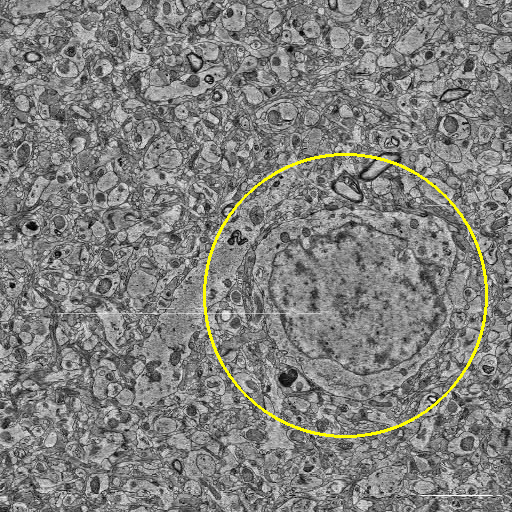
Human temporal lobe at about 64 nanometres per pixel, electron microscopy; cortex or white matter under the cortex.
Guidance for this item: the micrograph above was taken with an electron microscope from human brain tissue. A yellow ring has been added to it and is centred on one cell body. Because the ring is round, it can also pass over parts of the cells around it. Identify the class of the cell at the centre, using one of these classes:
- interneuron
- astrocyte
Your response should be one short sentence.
The ring surrounds the body of an interneuron.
